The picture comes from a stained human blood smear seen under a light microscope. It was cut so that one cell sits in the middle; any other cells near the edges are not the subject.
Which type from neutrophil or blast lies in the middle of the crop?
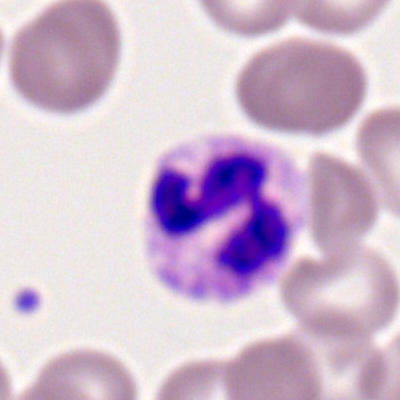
neutrophil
